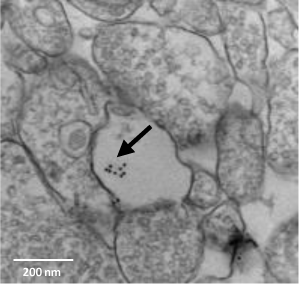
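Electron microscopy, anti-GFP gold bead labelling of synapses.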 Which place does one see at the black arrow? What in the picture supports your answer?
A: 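Postsynaptic compartment. A small cluster of dark round particles lies inside a pale membrane-bound profile. The profile borders terminals packed with round synaptic vesicles. The profile holding the particles contains no vesicles itself.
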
